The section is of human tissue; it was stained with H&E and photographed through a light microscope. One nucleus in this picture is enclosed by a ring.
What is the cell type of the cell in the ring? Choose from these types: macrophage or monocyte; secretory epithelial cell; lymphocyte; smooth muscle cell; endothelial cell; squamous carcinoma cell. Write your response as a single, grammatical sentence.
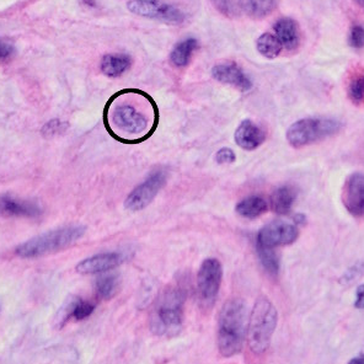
The identity of the cell in the ring is that of a macrophage or monocyte.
